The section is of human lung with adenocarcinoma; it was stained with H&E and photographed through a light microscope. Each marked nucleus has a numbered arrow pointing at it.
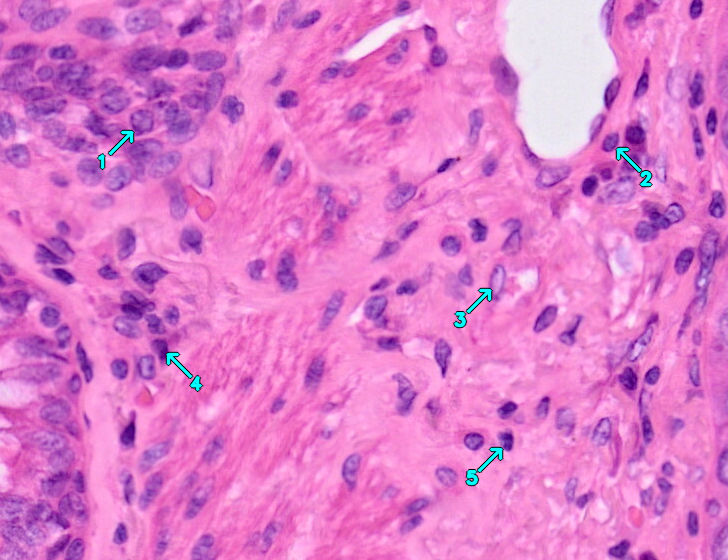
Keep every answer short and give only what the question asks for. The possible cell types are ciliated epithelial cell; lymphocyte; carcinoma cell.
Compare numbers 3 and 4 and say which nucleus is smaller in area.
4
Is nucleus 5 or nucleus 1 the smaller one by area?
5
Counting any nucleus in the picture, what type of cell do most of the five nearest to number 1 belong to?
ciliated epithelial cell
